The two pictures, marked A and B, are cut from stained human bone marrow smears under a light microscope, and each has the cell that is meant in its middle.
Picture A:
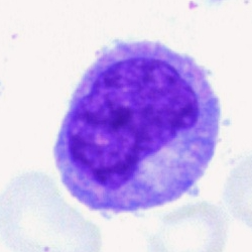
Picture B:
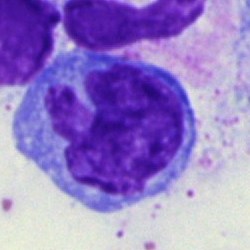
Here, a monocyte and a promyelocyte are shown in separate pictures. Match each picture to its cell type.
A: promyelocyte
B: monocyte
